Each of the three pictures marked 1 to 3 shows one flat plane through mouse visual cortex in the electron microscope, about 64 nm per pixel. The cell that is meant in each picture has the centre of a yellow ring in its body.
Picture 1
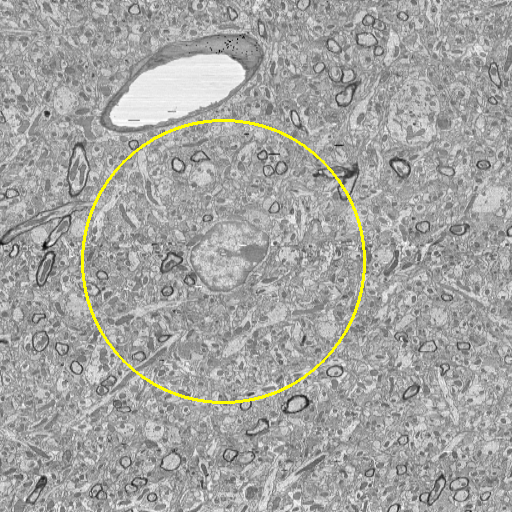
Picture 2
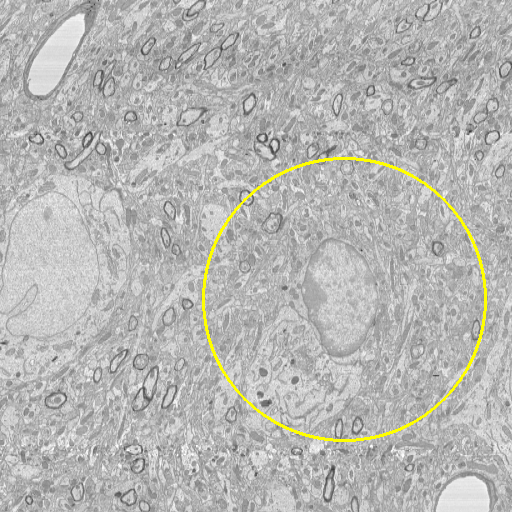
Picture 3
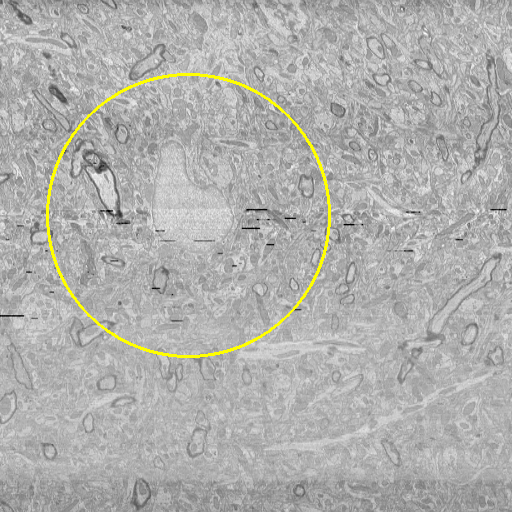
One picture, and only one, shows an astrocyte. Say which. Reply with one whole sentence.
The cell in picture 3 is the astrocyte.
